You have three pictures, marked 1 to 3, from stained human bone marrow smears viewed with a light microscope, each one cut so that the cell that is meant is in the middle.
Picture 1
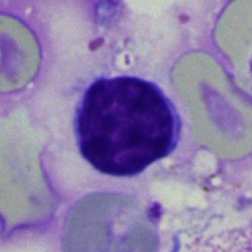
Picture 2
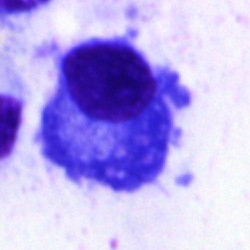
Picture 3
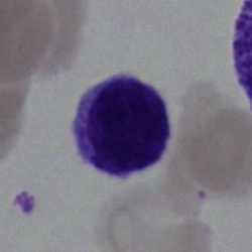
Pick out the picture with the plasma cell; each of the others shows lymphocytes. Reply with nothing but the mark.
2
